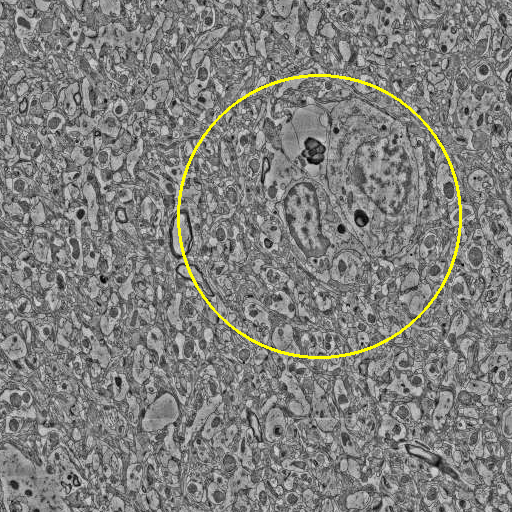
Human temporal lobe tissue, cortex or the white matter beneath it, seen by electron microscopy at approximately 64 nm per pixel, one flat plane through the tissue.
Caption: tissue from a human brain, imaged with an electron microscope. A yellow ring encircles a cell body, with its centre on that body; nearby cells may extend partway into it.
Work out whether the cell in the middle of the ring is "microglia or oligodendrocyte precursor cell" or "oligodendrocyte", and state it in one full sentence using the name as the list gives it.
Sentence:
In the picture, the cell that the yellow ring surrounds at its centre is a microglial cell or oligodendrocyte precursor cell.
